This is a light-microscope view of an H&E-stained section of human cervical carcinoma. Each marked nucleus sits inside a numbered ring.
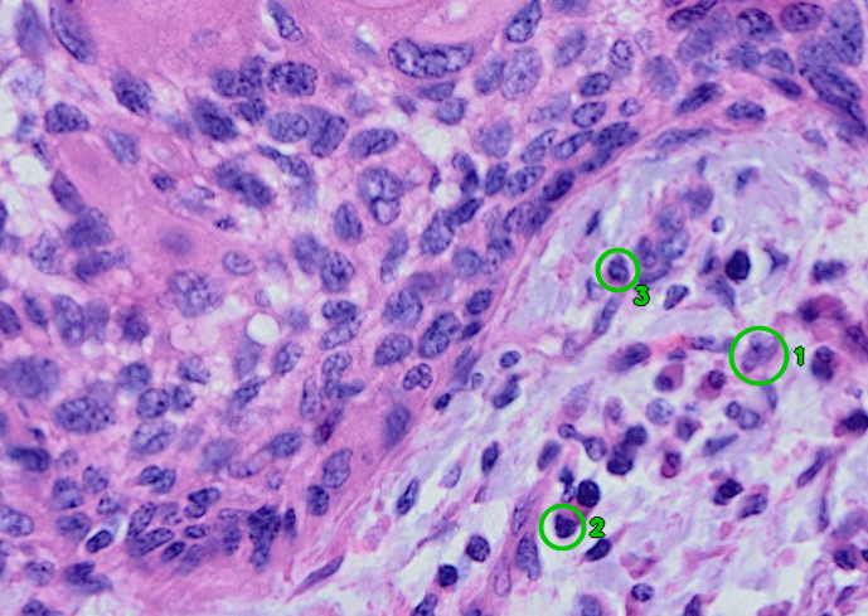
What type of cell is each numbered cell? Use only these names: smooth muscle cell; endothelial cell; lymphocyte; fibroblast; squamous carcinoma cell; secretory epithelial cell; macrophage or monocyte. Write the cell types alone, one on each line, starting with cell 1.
macrophage or monocyte
lymphocyte
lymphocyte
